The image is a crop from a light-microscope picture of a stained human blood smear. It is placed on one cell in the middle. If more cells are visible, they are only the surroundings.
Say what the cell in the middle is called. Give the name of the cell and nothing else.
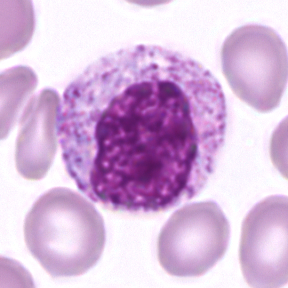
metamyelocyte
